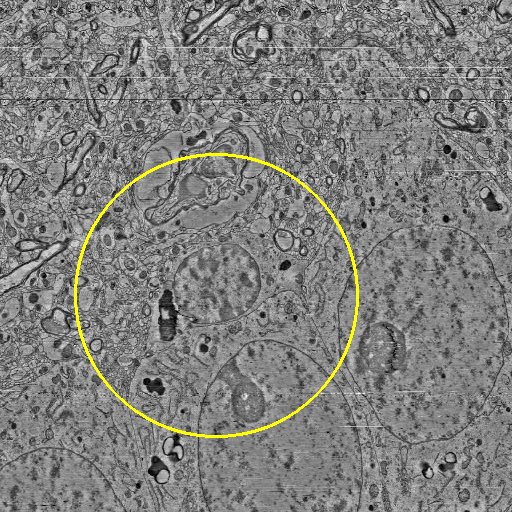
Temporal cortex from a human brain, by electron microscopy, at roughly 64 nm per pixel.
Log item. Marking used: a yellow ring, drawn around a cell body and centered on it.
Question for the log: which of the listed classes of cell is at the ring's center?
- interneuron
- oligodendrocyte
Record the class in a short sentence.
At the center of the ring lies an oligodendrocyte.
